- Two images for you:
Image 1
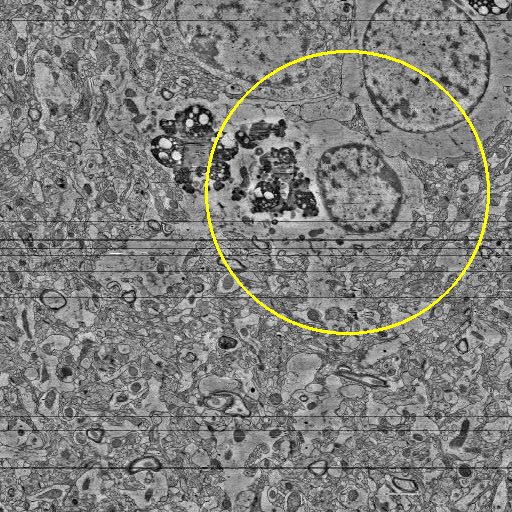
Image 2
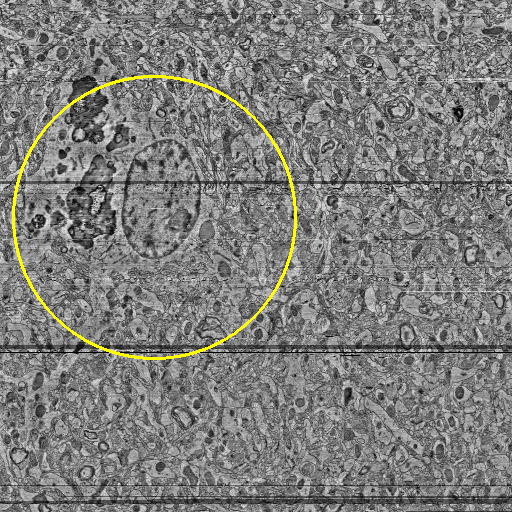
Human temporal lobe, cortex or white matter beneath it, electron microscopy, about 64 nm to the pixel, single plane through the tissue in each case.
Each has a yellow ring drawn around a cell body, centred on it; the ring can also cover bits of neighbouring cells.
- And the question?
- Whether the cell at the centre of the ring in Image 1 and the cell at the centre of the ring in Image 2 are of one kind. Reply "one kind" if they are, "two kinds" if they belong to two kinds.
one kind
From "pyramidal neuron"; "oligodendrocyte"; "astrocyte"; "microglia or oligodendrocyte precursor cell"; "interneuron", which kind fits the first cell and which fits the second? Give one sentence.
In each of the two pictures, the ringed cell is an astrocyte.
